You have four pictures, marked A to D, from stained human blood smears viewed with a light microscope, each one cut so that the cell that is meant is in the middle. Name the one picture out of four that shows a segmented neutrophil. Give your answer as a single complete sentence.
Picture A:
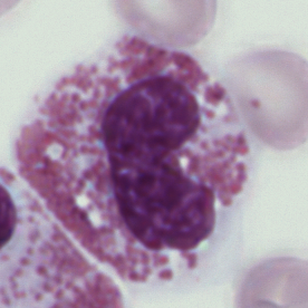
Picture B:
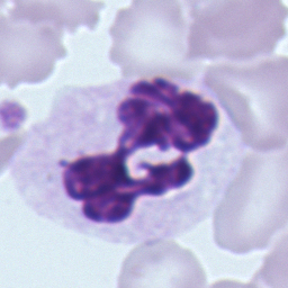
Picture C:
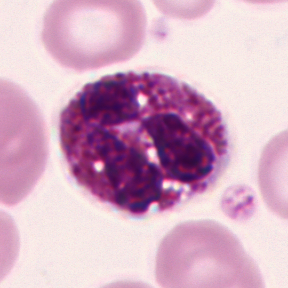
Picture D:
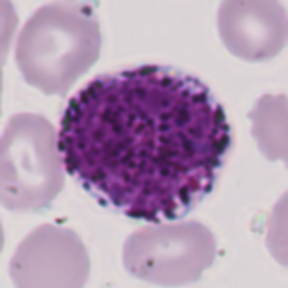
The picture with the segmented neutrophil is B.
